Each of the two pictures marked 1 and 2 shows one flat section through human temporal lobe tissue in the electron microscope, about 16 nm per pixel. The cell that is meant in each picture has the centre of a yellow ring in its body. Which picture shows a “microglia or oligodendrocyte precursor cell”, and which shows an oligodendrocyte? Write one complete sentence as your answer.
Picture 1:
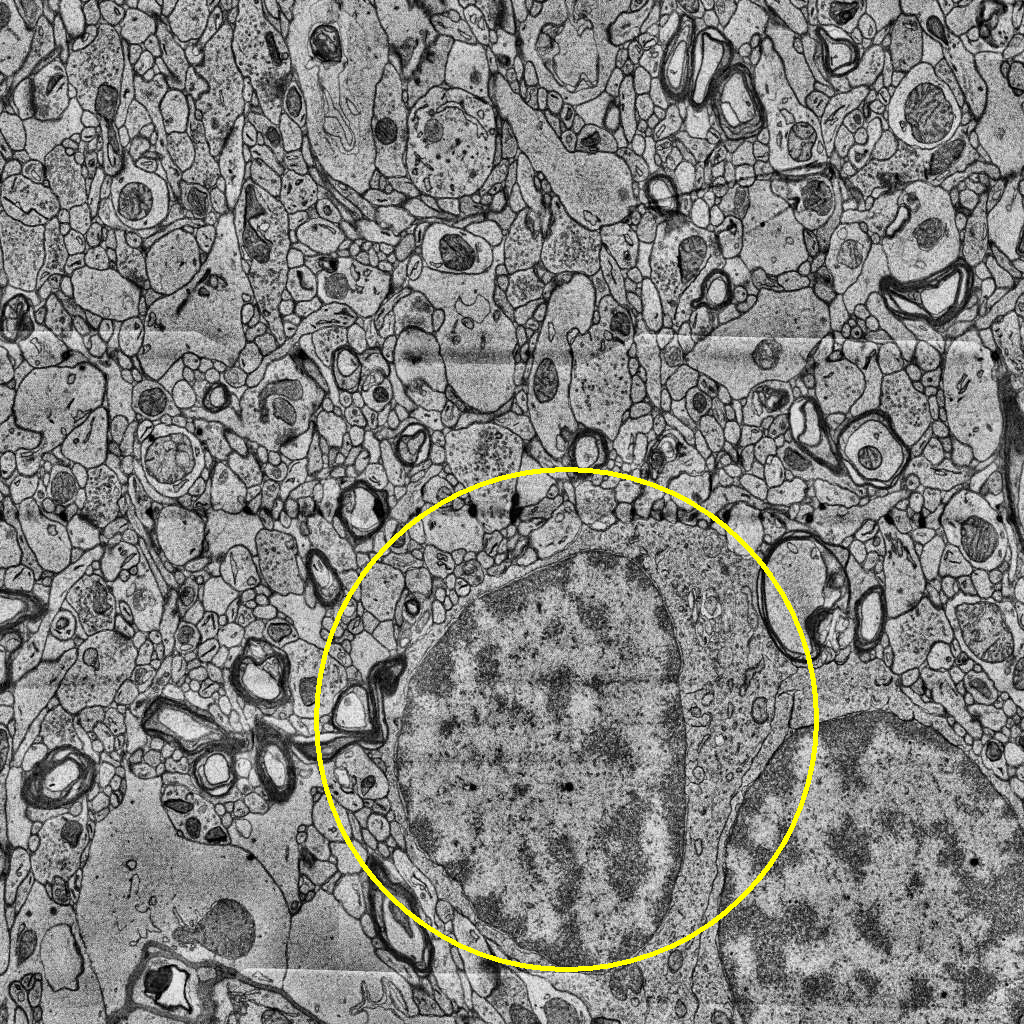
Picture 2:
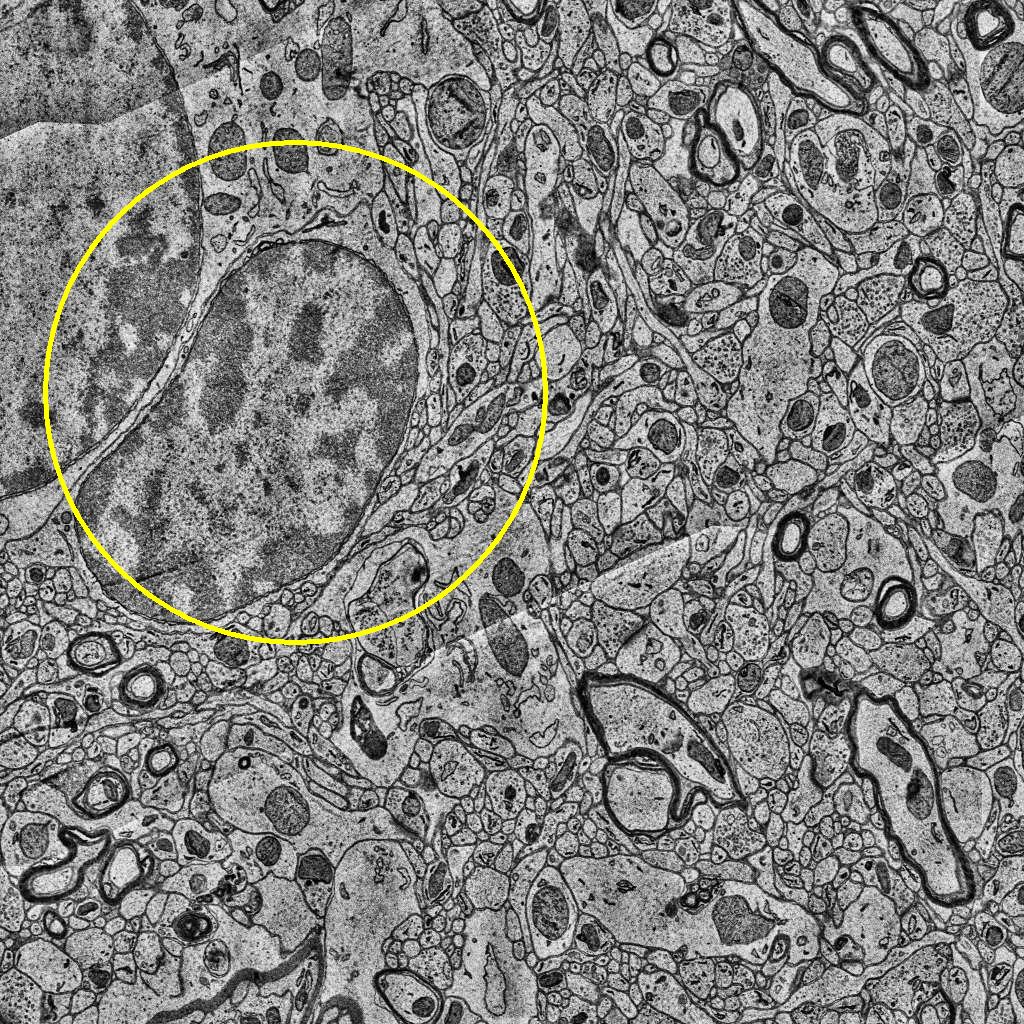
Picture 1 shows an oligodendrocyte and picture 2 shows a “microglia or oligodendrocyte precursor cell”.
